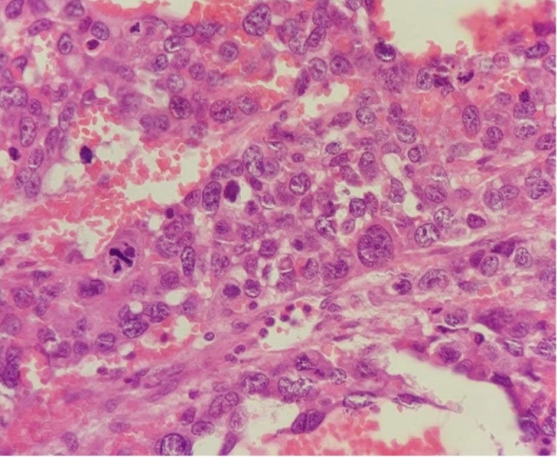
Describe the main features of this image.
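Loose sheets of large atypical tumour cells lie among abundant free red blood cells. Their nuclei are markedly pleomorphic, vesicular or hyperchromatic, with coarse chromatin and visible nucleoli, and some are very large and irregular. A dark, clumped mitotic figure is present, and the cells have moderate pink to purple cytoplasm. Blood-filled clefts and spaces separate the groups of cells.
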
